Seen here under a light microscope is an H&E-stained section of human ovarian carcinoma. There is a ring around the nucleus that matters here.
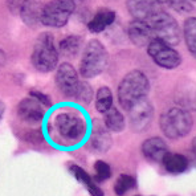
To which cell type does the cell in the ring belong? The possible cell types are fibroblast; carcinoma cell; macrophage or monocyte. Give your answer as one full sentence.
What the cell in the ring represents is a macrophage or monocyte.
